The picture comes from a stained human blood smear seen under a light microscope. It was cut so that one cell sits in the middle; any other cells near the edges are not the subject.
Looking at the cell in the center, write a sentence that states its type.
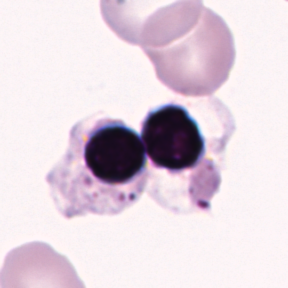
The central element of this crop is a cell, namely an erythroblast.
